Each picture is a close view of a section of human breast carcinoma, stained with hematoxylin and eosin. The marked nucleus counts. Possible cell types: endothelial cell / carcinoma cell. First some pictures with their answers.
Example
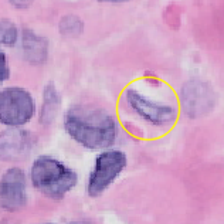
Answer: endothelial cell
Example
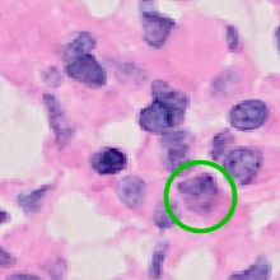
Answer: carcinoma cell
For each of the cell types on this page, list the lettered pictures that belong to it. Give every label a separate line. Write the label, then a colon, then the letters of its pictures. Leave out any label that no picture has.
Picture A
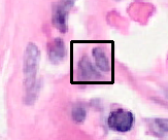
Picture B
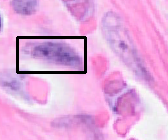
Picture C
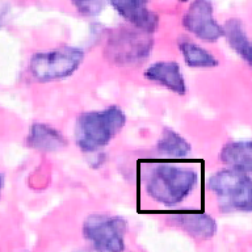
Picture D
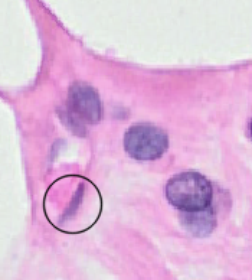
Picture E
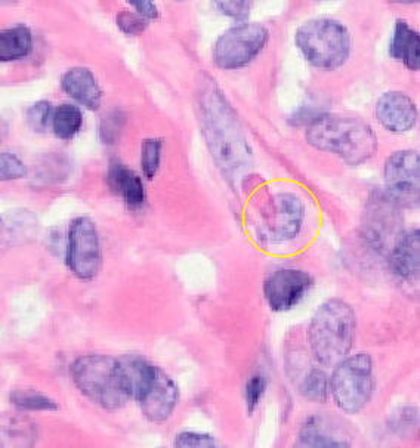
endothelial cell: A, B, D, E
carcinoma cell: C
